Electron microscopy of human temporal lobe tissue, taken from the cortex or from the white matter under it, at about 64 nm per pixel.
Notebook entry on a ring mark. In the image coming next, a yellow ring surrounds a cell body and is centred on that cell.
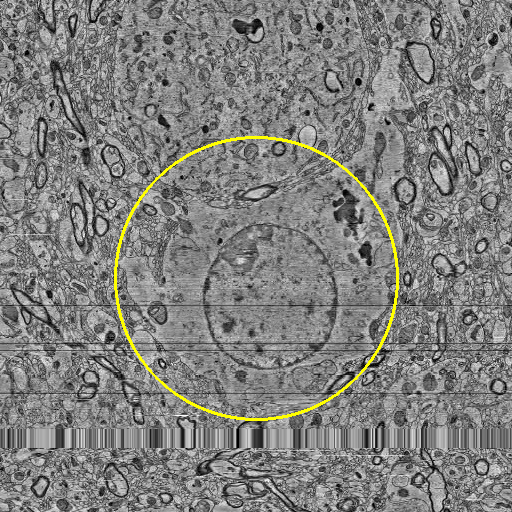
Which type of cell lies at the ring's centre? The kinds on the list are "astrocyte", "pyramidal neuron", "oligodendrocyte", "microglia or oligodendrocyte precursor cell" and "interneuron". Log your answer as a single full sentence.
Centred in the yellow ring is an astrocyte, the cell recorded for this image.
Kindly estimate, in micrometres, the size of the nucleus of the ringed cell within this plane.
The ringed cell's nucleus measures approximately 10 by 8 micrometres in this plane.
